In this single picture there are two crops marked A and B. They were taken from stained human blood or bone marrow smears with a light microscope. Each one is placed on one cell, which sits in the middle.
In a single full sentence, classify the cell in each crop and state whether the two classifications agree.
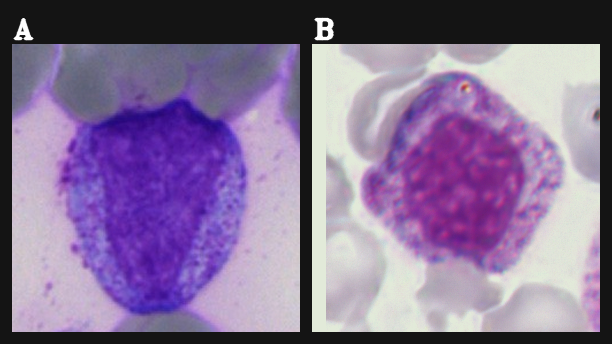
Yes, both crops here show myelocytes, the pair of them.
